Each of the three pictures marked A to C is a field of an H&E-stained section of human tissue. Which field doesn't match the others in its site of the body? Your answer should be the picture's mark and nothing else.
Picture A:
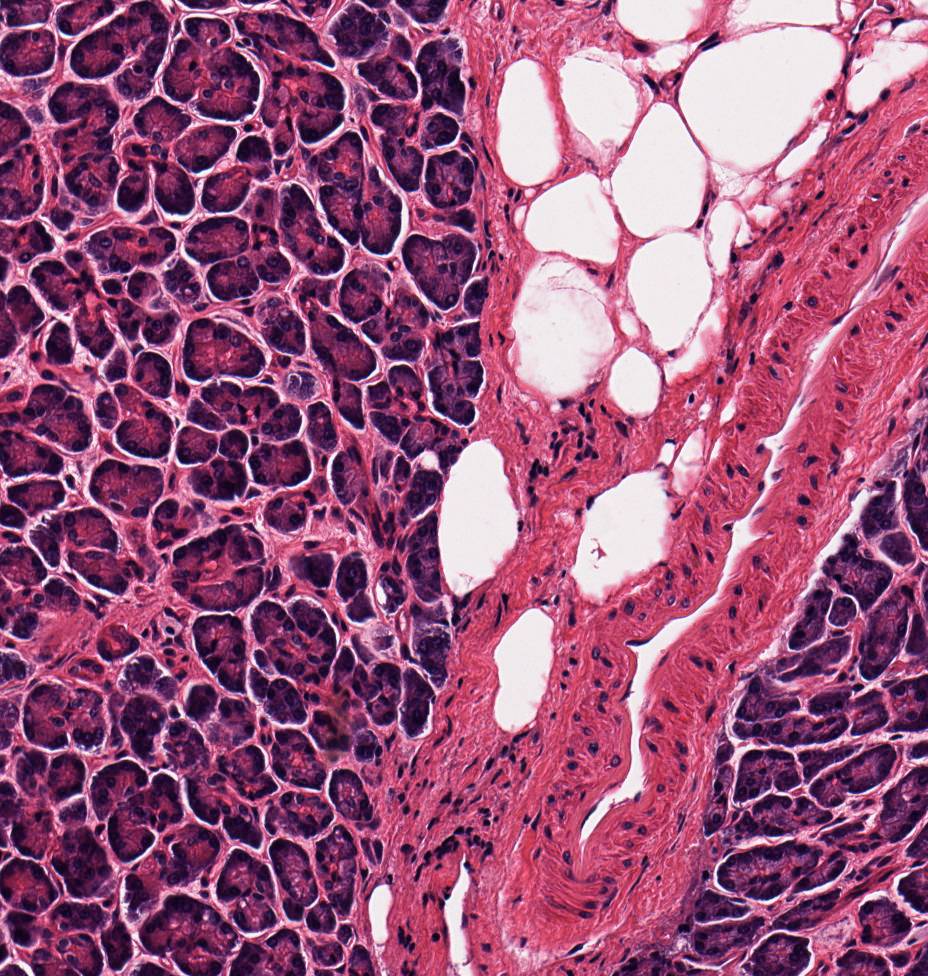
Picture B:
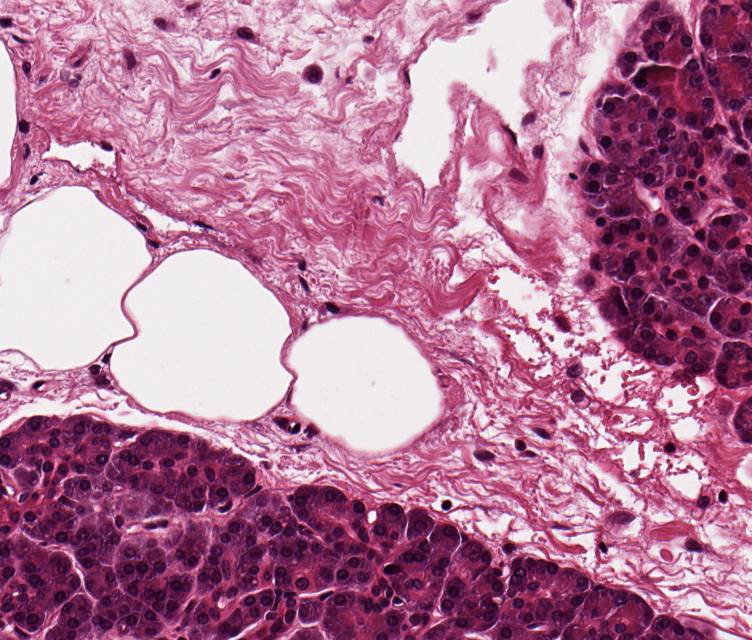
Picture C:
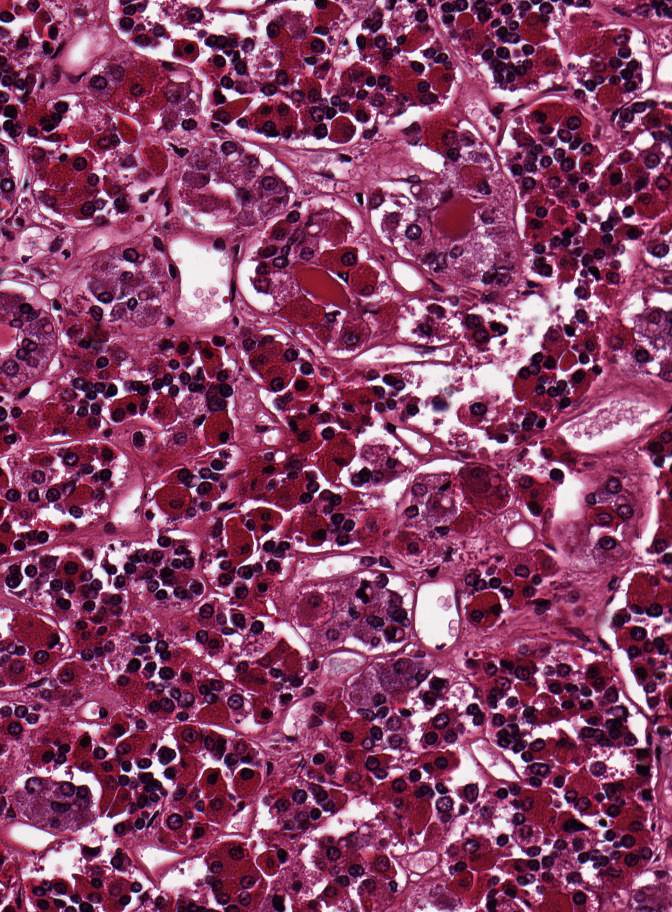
C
